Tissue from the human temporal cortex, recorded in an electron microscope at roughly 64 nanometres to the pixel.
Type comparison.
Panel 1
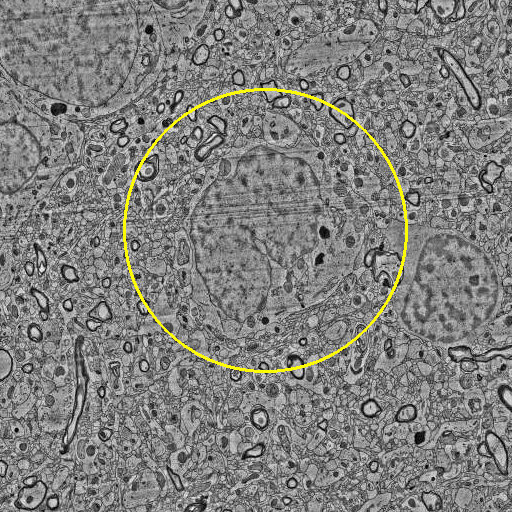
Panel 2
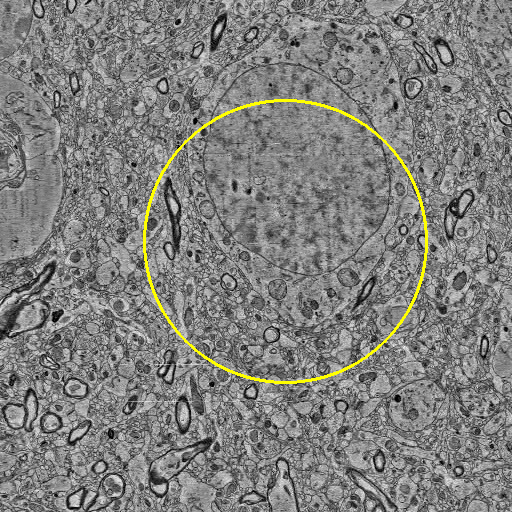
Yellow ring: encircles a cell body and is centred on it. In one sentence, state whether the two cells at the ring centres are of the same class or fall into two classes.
In these panels, the two cells at the ring centres fall into two classes.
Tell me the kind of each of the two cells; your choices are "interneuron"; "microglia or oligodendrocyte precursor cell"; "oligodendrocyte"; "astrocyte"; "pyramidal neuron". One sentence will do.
The ringed cell is an interneuron in the first picture and a pyramidal neuron in the second picture.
